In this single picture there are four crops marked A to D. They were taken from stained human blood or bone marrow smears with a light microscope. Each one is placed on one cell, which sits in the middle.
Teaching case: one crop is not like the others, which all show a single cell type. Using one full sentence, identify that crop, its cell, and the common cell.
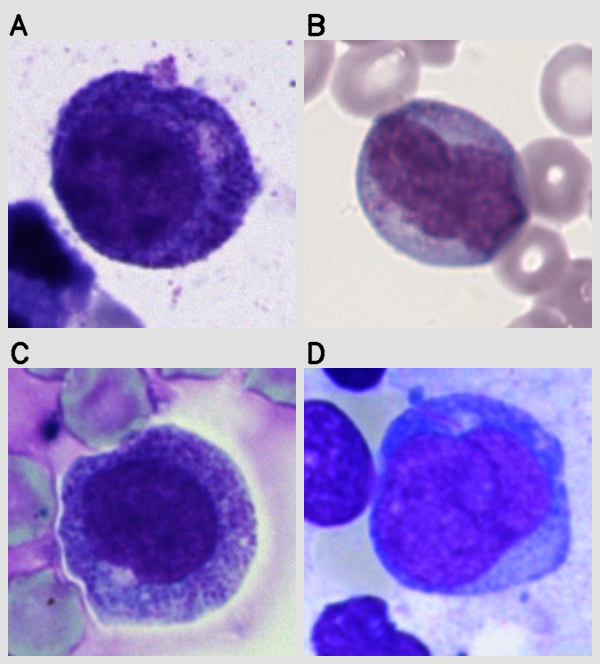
Only in crop D is there a blast; all other crops show promyelocytes.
